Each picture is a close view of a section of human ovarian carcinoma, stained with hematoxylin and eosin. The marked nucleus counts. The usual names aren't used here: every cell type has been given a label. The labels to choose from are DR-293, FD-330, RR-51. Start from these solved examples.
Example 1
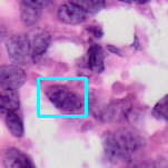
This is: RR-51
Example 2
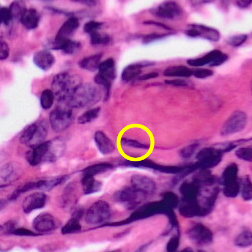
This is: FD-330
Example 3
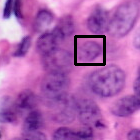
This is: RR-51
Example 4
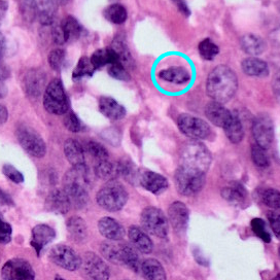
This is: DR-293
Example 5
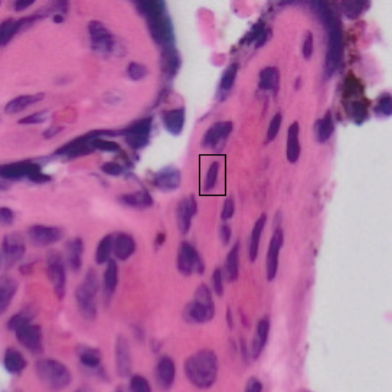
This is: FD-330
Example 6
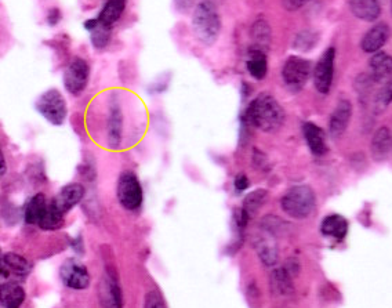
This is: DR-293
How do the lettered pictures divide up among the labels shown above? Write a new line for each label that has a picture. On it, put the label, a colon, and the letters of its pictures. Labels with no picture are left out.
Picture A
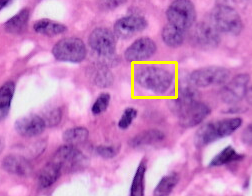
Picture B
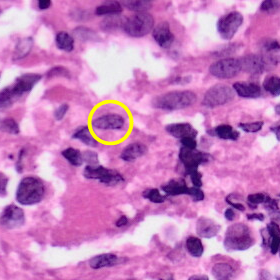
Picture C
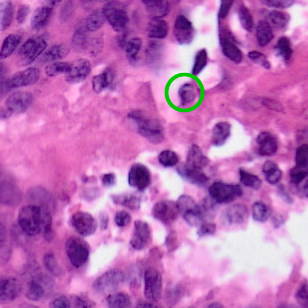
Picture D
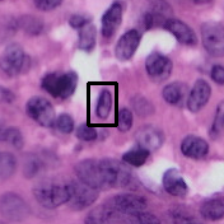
DR-293: B, C, D
RR-51: A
